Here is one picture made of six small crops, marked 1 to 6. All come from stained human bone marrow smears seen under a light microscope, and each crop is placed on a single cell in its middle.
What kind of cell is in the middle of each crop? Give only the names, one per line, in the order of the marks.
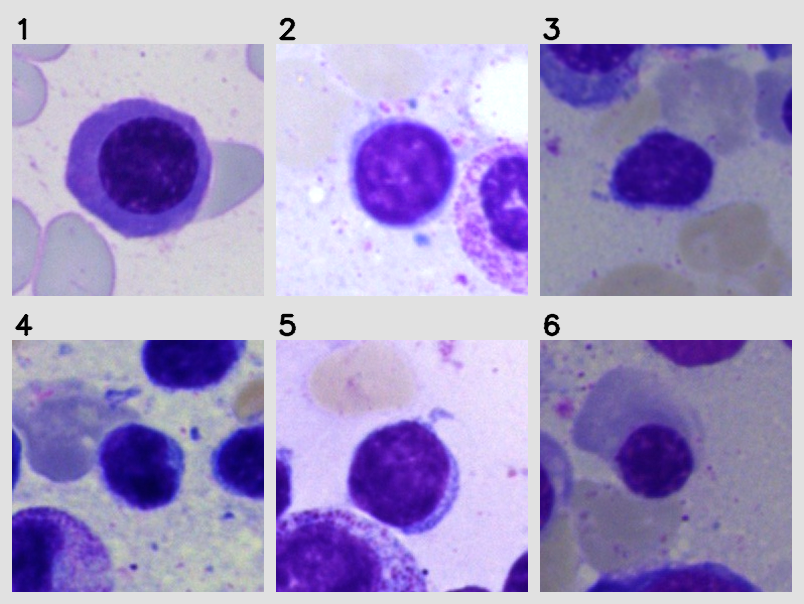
erythroblast
lymphocyte
lymphocyte
lymphocyte
lymphocyte
erythroblast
